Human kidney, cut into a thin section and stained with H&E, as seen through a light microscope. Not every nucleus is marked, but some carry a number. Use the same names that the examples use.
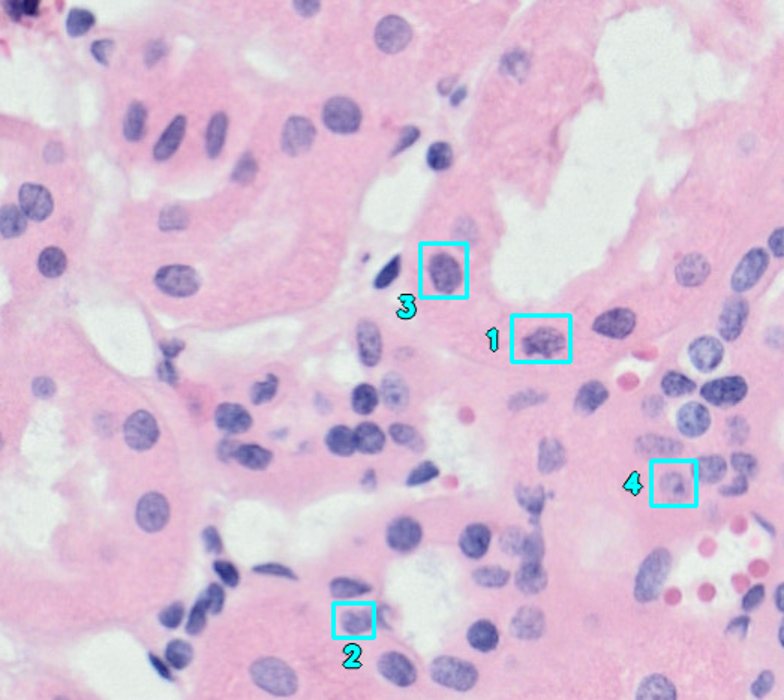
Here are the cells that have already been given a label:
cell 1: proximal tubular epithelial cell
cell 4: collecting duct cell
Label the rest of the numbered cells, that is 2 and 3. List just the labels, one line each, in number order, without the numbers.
collecting duct cell
proximal tubular epithelial cell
